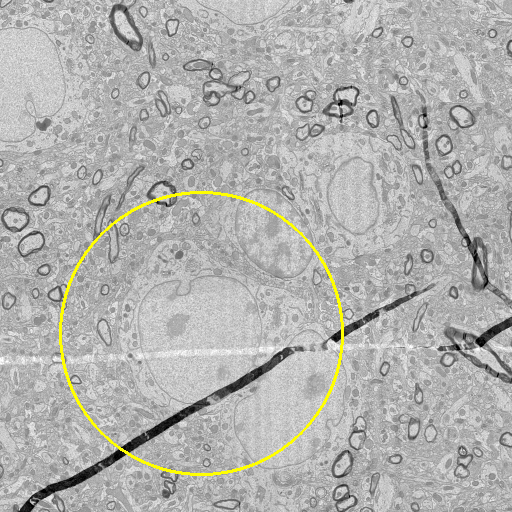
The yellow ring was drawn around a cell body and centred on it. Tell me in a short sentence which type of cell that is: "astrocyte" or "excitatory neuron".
The cell at the ring's centre is an excitatory neuron.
